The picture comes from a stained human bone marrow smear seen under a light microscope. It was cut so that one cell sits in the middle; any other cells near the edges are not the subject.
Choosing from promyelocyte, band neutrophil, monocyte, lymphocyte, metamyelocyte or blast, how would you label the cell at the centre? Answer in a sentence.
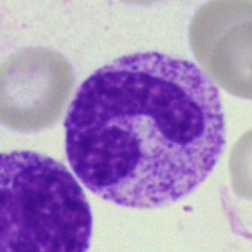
The cell in the middle of the field of view is a band neutrophil.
